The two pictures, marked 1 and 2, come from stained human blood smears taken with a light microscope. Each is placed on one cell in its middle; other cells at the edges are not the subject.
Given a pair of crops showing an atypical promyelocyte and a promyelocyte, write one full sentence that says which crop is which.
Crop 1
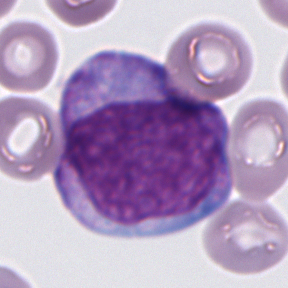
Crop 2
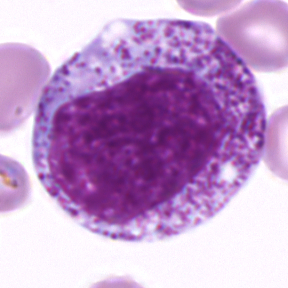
In crop 1 there is an atypical promyelocyte, and in crop 2 there is a promyelocyte.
